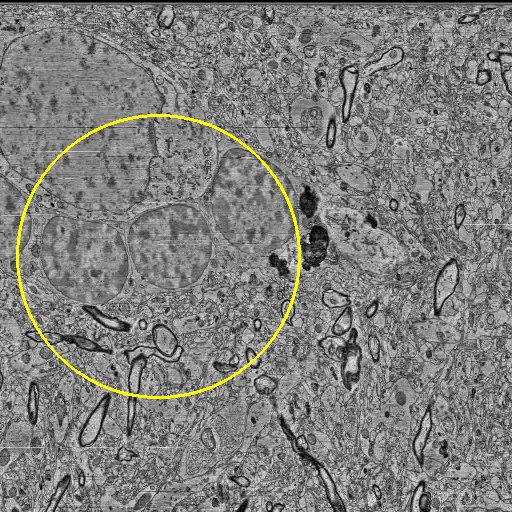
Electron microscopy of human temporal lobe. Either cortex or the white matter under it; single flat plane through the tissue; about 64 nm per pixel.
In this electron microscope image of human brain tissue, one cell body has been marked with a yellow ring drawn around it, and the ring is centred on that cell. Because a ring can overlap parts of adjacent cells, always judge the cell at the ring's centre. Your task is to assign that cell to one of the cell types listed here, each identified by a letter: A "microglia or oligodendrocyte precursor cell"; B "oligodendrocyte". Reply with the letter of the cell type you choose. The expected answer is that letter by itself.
B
